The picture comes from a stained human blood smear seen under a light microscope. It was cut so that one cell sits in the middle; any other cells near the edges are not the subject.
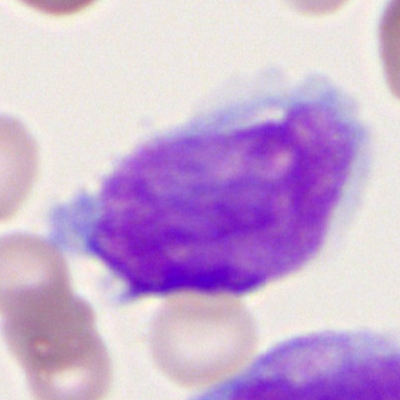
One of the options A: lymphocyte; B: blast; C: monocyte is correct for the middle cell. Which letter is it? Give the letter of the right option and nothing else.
C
